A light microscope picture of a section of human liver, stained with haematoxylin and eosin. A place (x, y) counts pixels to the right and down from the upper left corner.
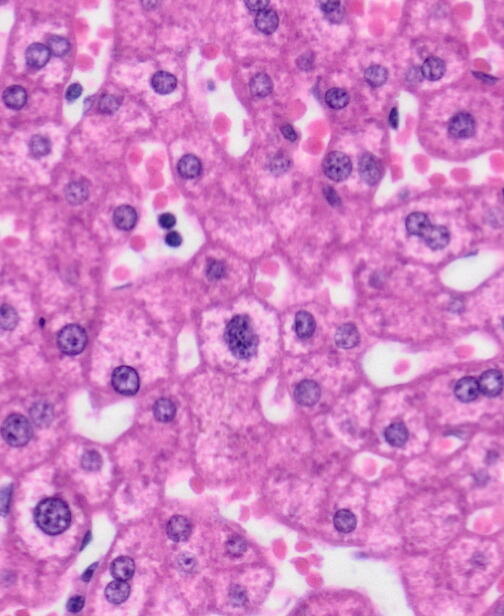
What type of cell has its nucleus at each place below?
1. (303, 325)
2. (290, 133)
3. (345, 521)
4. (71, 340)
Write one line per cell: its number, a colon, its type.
1: hepatocyte
2: Kupffer cell
3: hepatocyte
4: hepatocyte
